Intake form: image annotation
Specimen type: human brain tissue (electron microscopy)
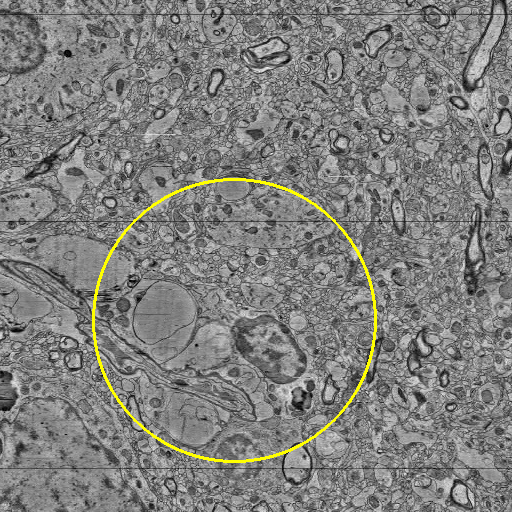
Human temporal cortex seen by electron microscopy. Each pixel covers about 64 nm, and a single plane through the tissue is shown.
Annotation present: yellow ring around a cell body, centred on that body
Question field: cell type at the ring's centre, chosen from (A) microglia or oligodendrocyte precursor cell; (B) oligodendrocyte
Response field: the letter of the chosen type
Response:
A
